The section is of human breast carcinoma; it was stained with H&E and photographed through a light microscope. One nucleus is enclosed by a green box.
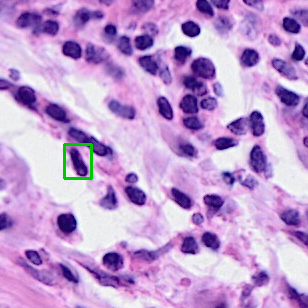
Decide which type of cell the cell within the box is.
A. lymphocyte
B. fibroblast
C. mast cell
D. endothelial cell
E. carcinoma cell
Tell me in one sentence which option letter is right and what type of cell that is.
Option A is correct; the cell within the box is a lymphocyte.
